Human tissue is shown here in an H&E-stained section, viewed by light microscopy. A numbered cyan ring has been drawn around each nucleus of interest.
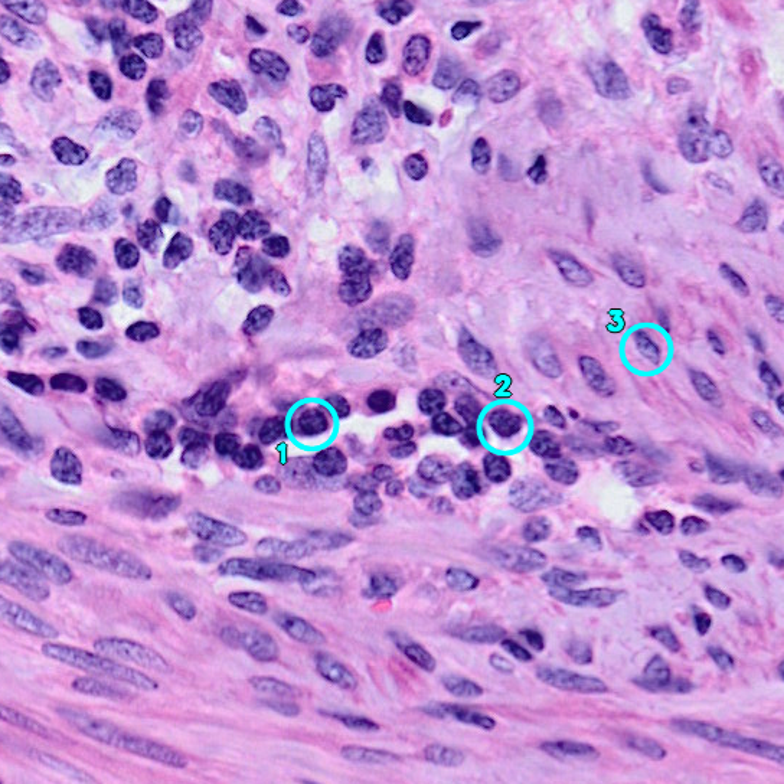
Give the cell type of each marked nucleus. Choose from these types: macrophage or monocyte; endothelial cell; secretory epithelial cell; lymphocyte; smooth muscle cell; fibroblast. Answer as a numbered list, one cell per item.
1. lymphocyte
2. lymphocyte
3. smooth muscle cell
